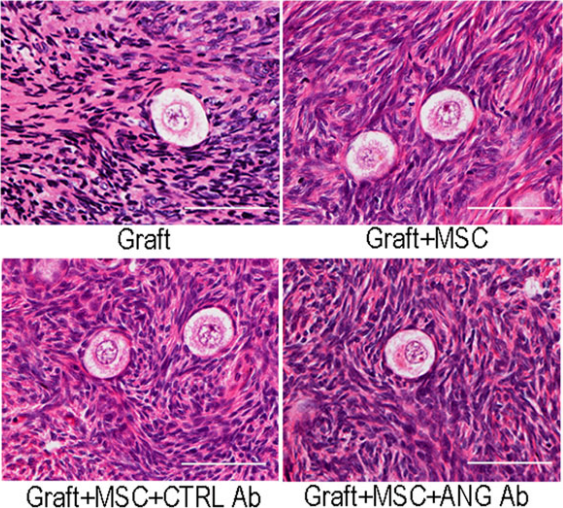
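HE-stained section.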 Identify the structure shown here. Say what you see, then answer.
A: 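Primodial follicles. Small round pale structures scattered singly in the tissue. Each round structure has a central darker nucleus-like body. The round structures are embedded in dense stroma.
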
